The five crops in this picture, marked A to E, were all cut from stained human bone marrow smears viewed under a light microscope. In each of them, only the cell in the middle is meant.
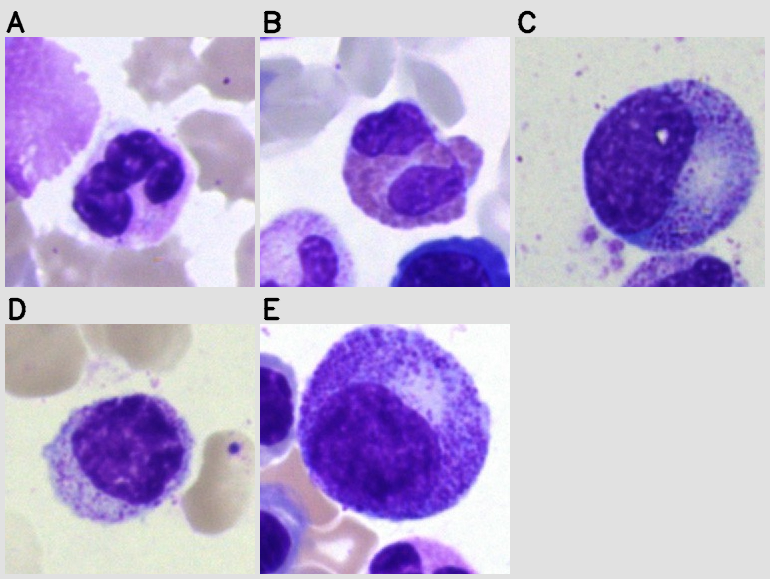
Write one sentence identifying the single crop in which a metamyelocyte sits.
The one that shows a metamyelocyte is crop C.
